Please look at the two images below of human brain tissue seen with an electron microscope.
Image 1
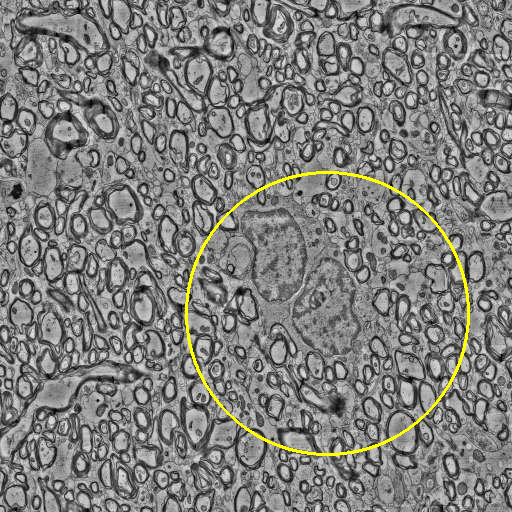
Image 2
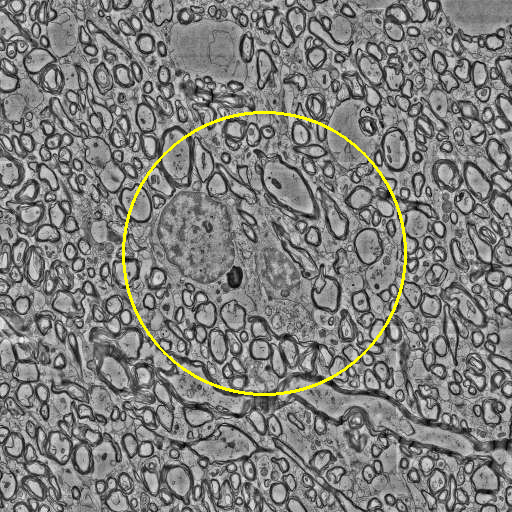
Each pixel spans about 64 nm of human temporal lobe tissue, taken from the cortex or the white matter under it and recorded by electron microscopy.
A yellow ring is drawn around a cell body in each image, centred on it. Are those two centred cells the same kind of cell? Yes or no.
yes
